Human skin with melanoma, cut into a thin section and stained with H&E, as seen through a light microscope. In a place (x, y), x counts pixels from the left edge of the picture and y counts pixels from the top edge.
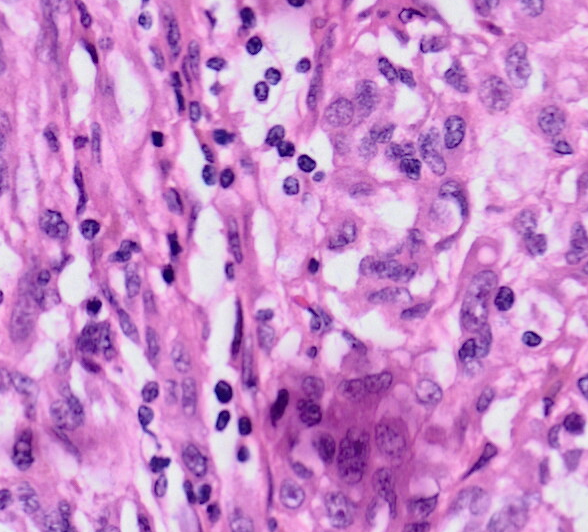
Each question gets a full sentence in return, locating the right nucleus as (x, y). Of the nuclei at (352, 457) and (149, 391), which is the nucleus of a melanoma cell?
Belonging to a melanoma cell is the nucleus at (352, 457).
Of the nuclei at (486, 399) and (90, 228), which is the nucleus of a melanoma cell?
The nucleus at (486, 399) belongs to a melanoma cell, which distinguishes it from the other nucleus.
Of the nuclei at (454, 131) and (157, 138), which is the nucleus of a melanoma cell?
Of the two nuclei, the one sitting at (454, 131) belongs to a melanoma cell.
